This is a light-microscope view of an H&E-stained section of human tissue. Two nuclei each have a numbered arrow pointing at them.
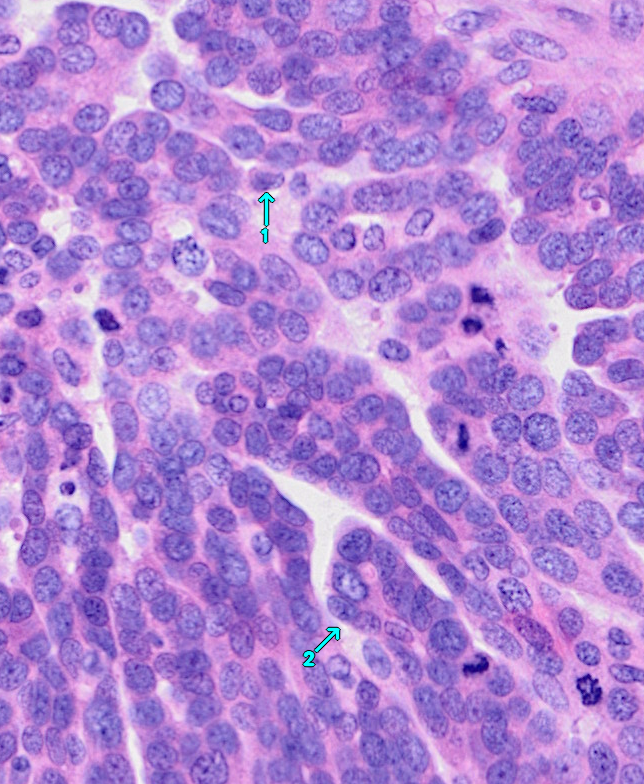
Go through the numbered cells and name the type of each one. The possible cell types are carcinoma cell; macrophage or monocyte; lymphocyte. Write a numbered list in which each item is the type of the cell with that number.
1. macrophage or monocyte
2. carcinoma cell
